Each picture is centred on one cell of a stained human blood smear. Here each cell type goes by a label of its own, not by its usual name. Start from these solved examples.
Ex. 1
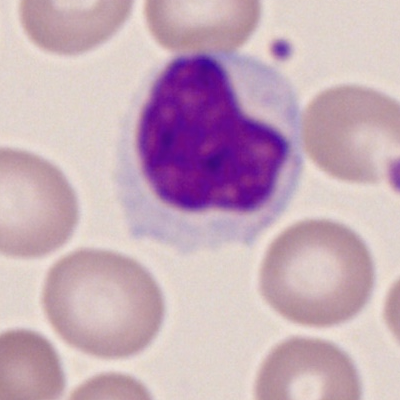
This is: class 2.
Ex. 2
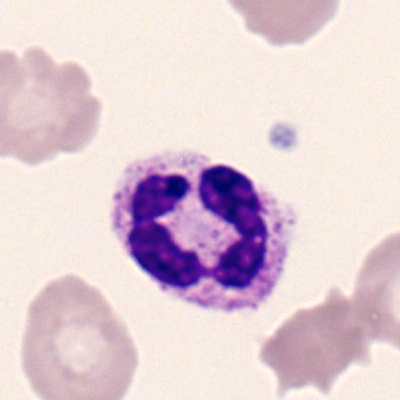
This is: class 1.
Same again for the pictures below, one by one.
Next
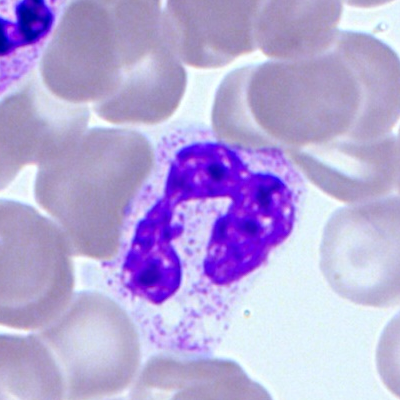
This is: class 1.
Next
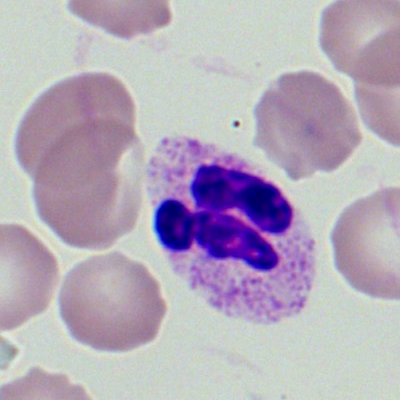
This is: class 1.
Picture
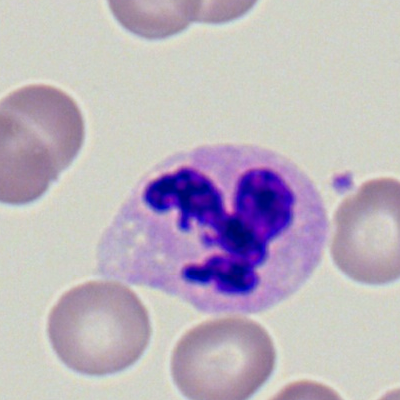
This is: class 1.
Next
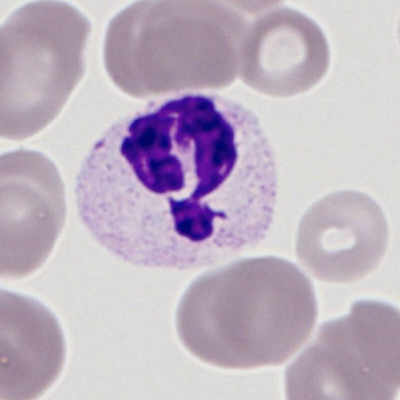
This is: class 1.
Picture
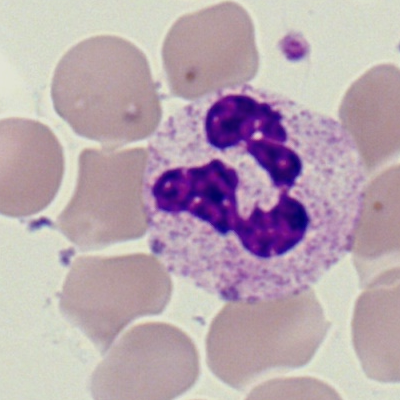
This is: class 1.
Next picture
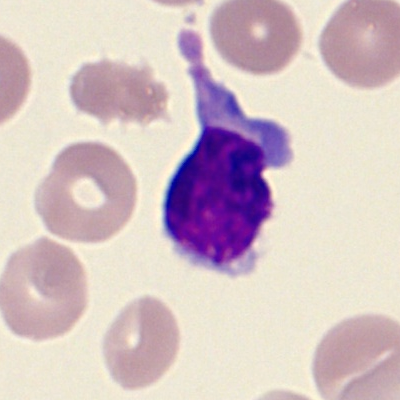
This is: class 2.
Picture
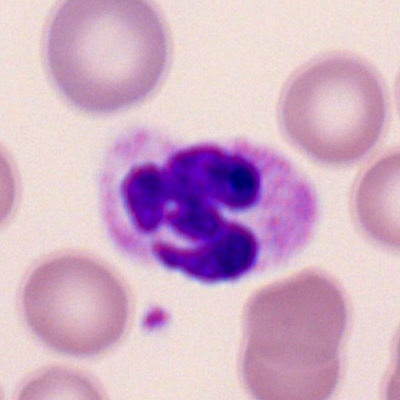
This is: class 1.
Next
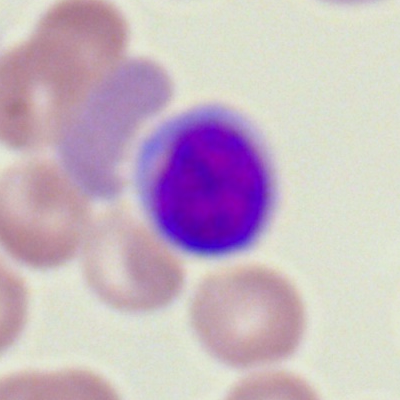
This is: class 2.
